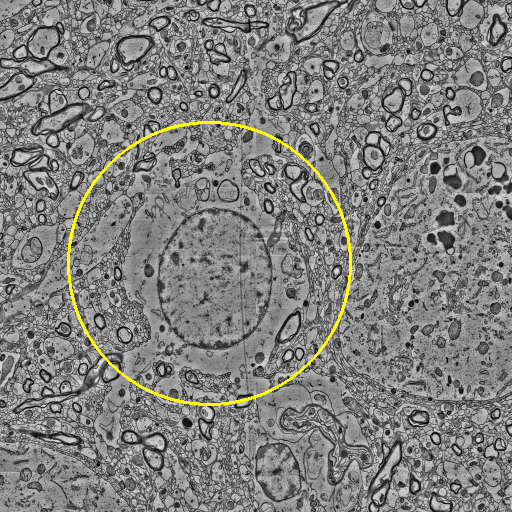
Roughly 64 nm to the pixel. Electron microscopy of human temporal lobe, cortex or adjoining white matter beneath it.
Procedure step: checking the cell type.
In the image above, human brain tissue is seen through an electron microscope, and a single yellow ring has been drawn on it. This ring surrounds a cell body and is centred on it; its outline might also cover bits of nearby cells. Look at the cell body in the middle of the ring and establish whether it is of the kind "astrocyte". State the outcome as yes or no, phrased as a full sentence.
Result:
Yes, the cell body at the ring's centre in the image is of the kind in question.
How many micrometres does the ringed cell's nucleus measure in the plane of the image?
In this plane, roughly 9 by 7 micrometres.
